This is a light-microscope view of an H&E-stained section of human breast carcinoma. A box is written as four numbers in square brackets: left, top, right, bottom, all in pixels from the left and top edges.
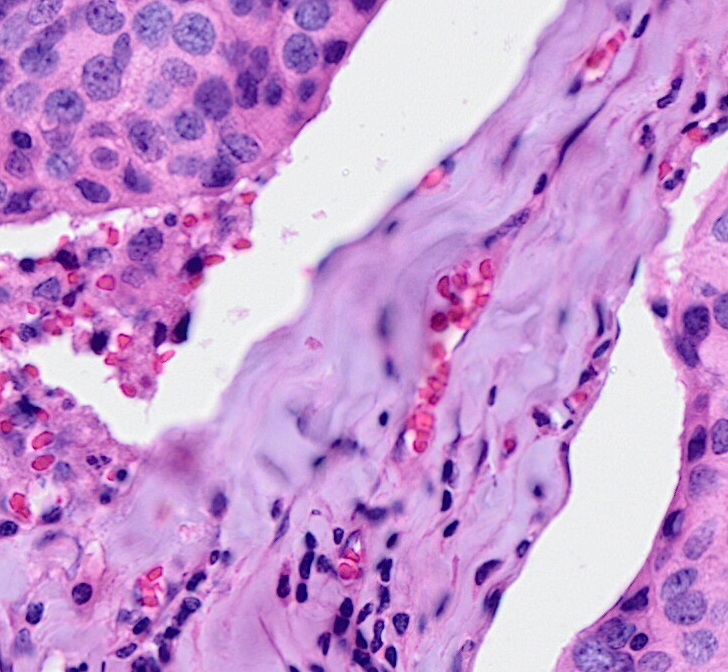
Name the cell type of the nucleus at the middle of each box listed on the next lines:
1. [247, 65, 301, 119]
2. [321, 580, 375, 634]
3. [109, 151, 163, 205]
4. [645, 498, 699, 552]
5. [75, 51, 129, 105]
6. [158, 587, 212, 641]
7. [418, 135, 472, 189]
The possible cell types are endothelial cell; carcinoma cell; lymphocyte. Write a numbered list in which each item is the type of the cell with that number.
1. carcinoma cell
2. lymphocyte
3. carcinoma cell
4. carcinoma cell
5. carcinoma cell
6. lymphocyte
7. endothelial cell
